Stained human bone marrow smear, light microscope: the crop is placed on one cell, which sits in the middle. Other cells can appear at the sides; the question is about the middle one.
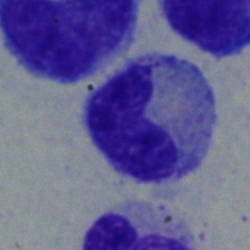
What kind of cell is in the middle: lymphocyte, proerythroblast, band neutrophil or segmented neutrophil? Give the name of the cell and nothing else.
band neutrophil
